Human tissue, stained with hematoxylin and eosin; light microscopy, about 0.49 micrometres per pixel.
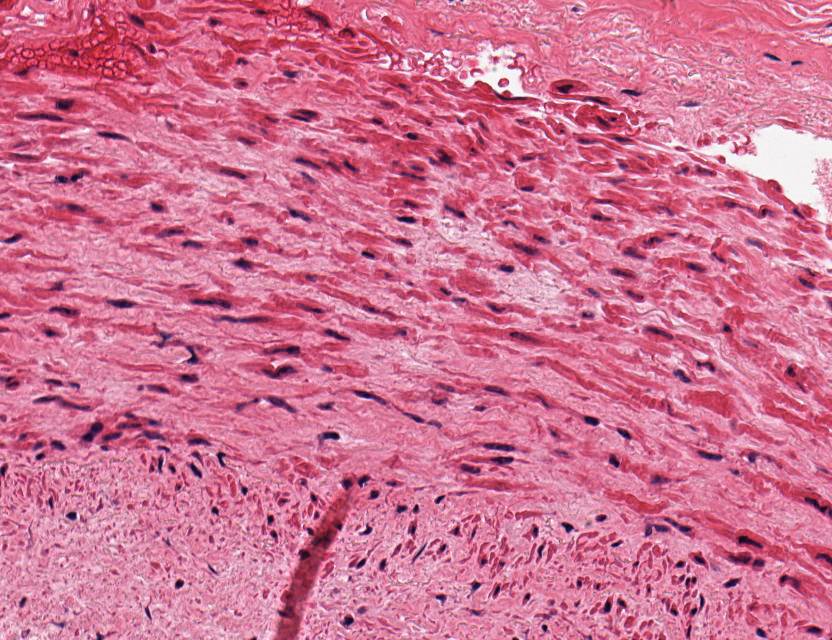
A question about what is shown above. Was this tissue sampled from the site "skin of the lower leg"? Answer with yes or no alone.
no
